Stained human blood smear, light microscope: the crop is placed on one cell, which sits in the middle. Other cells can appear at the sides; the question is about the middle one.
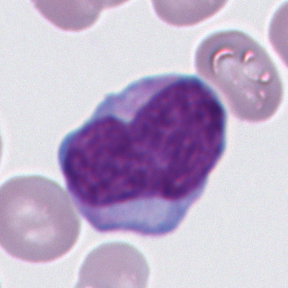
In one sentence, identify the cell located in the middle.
At the crop's centre, the cell is an atypical promyelocyte.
